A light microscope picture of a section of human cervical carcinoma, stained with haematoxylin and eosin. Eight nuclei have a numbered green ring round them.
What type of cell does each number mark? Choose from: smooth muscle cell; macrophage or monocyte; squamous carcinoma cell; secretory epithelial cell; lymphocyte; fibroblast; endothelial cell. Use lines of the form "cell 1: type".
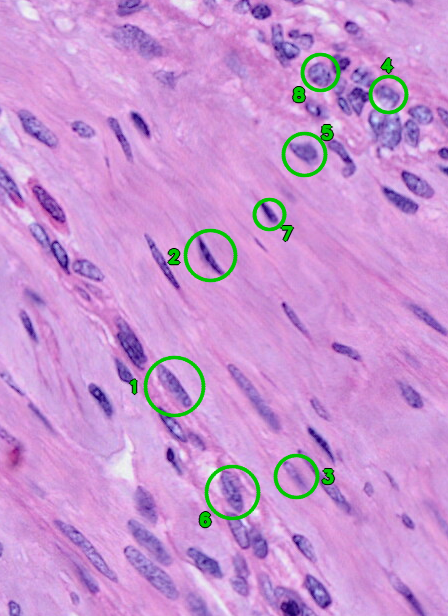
cell 1: smooth muscle cell
cell 2: fibroblast
cell 3: fibroblast
cell 4: endothelial cell
cell 5: fibroblast
cell 6: endothelial cell
cell 7: fibroblast
cell 8: endothelial cell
